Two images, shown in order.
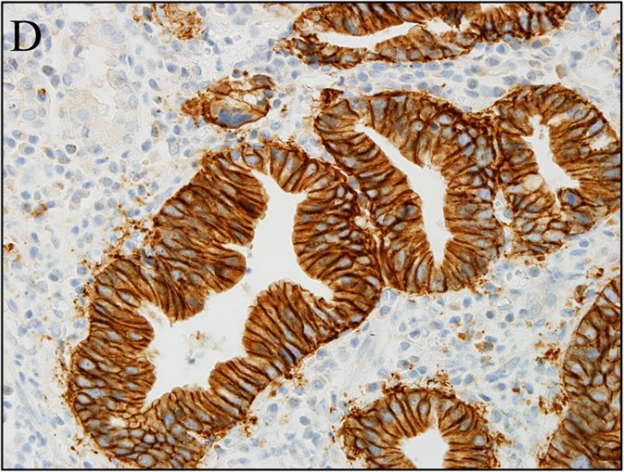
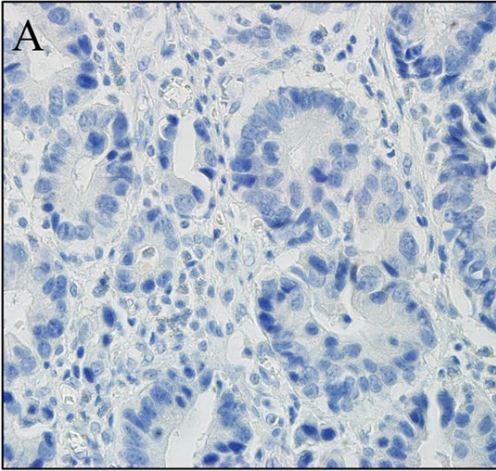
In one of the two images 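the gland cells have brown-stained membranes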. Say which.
The first image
